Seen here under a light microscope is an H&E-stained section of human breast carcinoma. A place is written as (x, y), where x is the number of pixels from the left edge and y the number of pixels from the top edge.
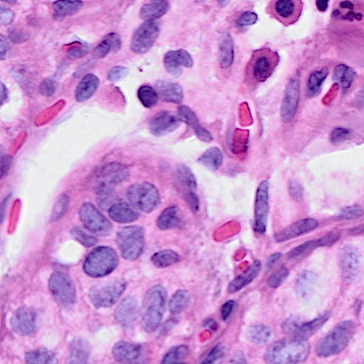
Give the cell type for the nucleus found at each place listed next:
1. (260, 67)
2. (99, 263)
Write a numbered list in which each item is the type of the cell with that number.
1. mast cell
2. carcinoma cell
